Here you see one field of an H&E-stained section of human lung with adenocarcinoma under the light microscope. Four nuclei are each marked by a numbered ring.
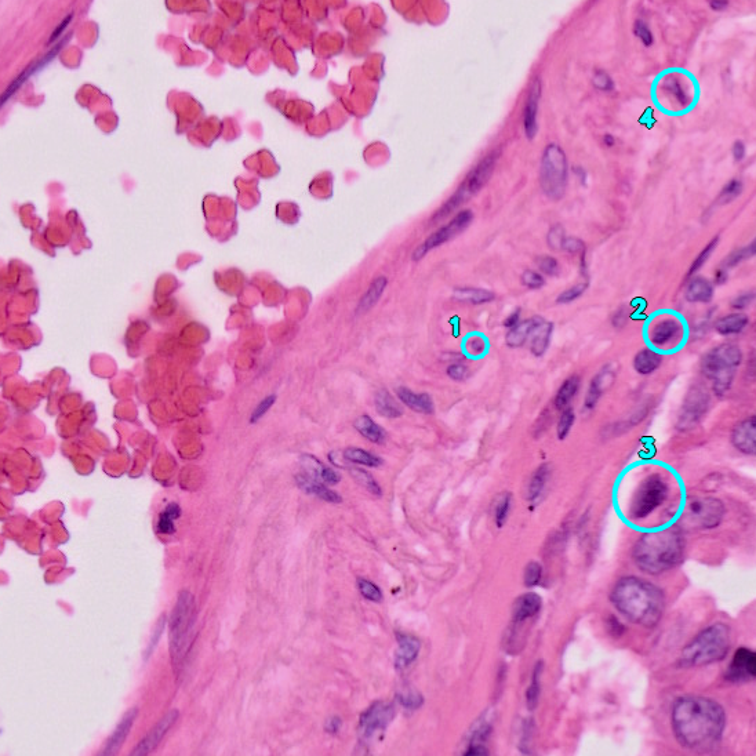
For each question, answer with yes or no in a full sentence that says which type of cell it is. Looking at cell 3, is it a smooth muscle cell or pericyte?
No, cell 3 counts as a carcinoma cell rather than as a smooth muscle cell or pericyte.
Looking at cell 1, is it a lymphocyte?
No, not a lymphocyte: the cell with number 1 is a smooth muscle cell or pericyte.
